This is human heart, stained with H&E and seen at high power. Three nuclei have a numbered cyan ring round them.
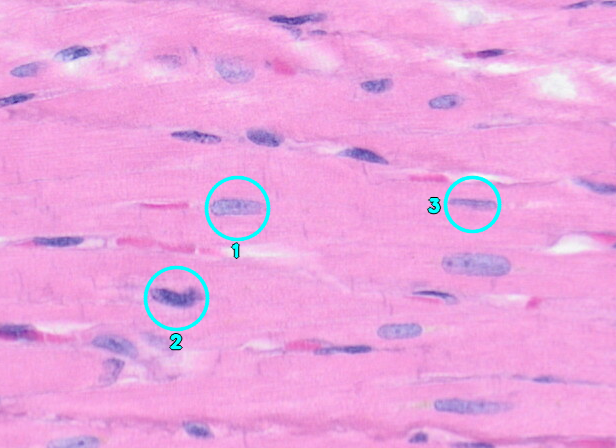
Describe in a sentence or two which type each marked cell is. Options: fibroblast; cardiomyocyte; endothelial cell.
Cell 1 is a cardiomyocyte, cell 2 is an endothelial cell and cell 3 is a cardiomyocyte.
